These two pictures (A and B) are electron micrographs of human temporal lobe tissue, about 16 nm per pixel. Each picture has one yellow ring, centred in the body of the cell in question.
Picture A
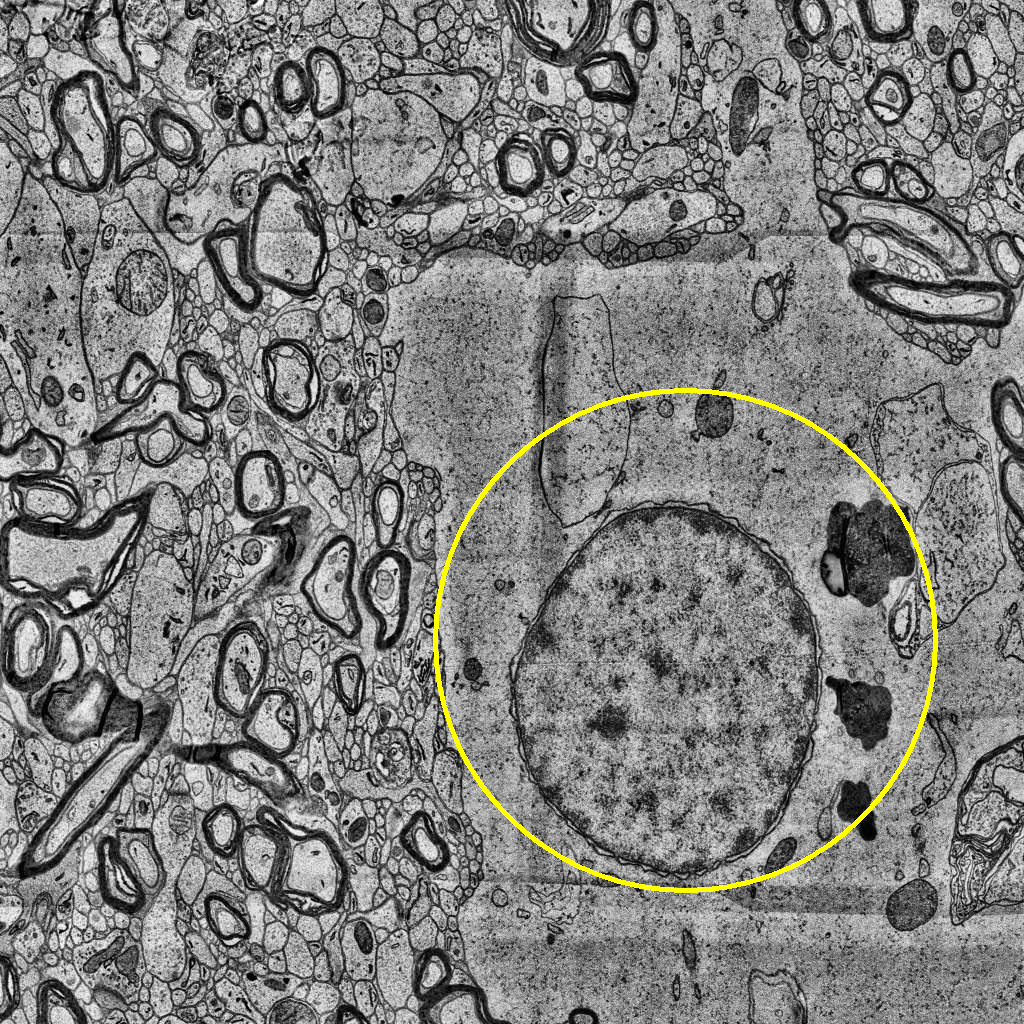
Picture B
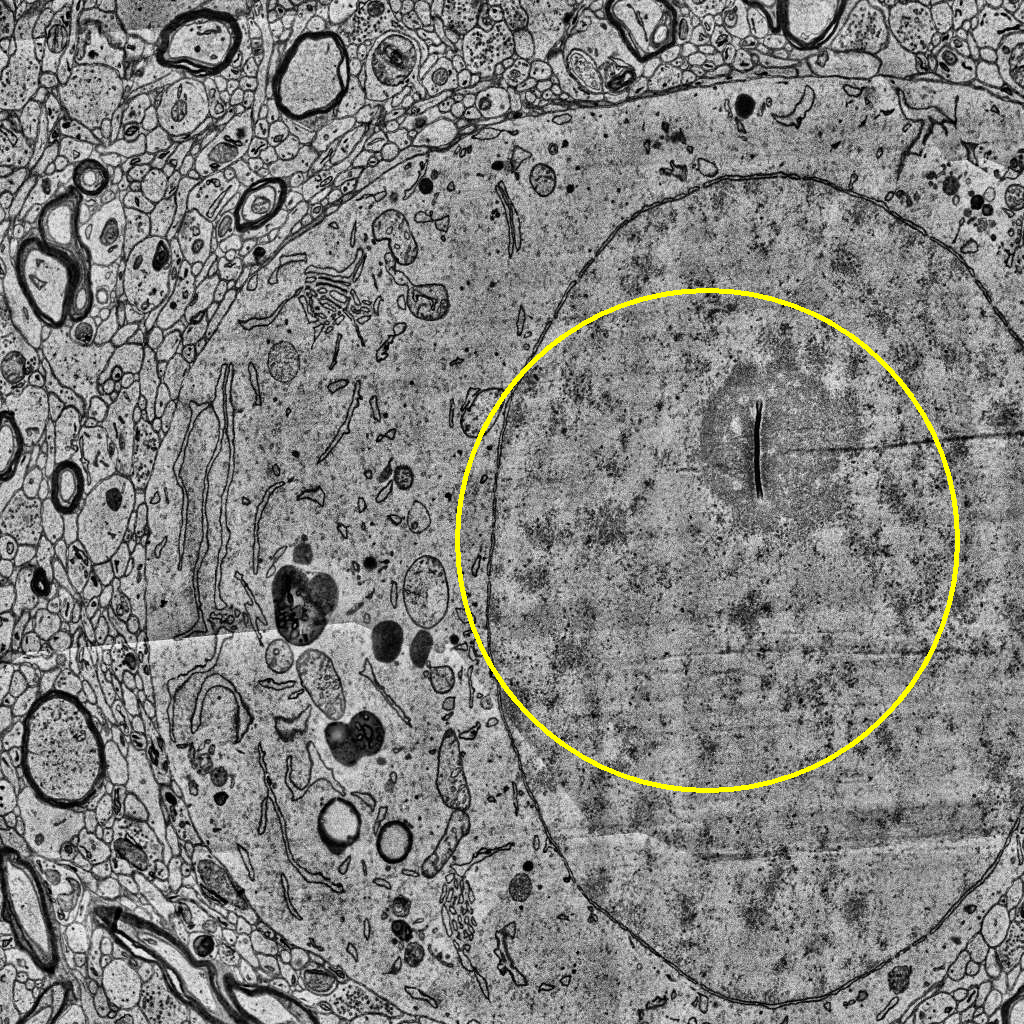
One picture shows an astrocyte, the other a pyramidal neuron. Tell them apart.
The cell in picture A is an astrocyte, and the one in picture B is a pyramidal neuron.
